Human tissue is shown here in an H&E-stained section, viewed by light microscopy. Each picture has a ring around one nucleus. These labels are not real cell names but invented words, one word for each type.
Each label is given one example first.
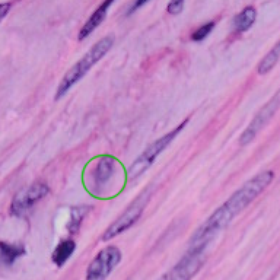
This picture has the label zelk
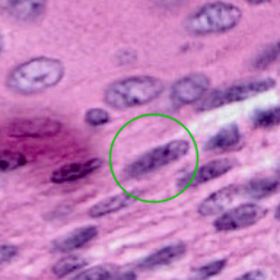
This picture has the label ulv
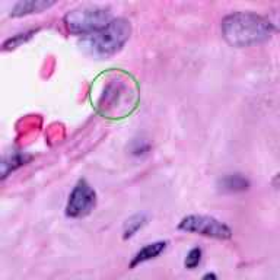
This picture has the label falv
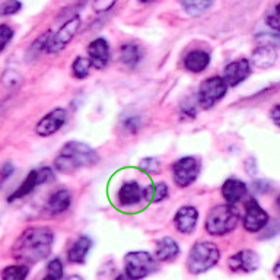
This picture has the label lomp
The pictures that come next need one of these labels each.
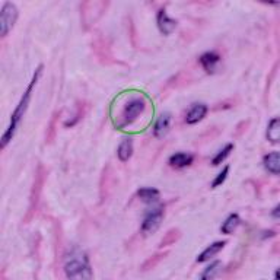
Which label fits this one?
zelk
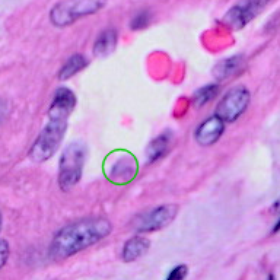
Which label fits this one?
falv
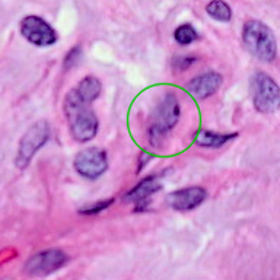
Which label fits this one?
falv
